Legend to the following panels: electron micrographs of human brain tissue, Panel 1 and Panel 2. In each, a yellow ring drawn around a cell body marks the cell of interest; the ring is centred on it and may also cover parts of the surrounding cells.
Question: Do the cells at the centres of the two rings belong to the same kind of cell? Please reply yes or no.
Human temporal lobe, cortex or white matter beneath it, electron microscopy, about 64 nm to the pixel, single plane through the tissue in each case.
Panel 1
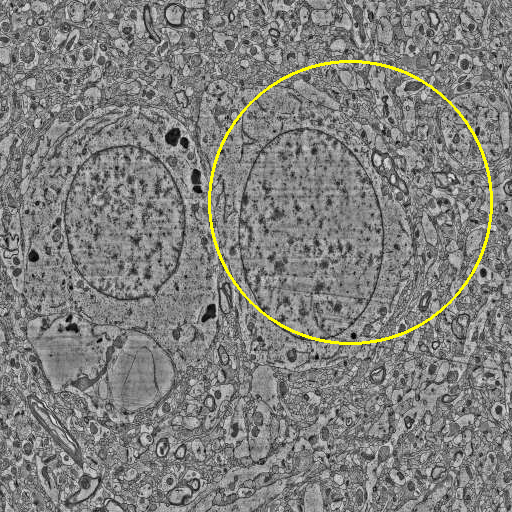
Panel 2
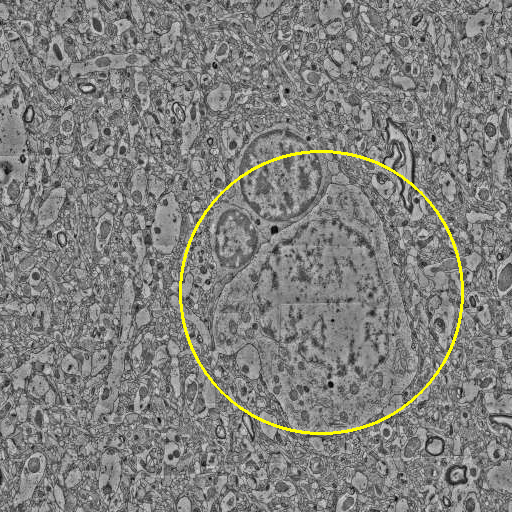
no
